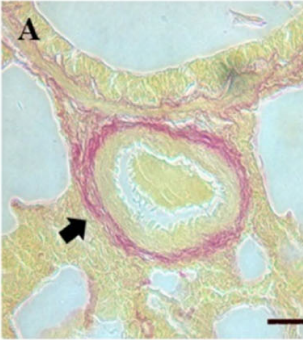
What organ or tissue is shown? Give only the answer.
small pulmonary arteries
